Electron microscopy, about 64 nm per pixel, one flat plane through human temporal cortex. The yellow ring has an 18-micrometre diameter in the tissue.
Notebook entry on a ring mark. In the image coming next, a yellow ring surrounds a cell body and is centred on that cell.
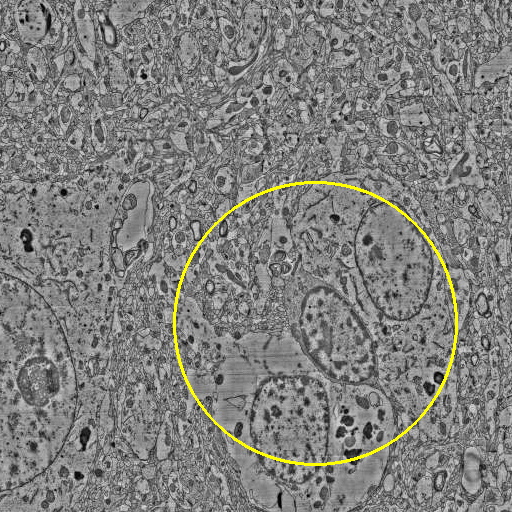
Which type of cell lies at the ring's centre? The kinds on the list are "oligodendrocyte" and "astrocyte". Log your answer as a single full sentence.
Centred in the yellow ring is an oligodendrocyte, the cell recorded for this image.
